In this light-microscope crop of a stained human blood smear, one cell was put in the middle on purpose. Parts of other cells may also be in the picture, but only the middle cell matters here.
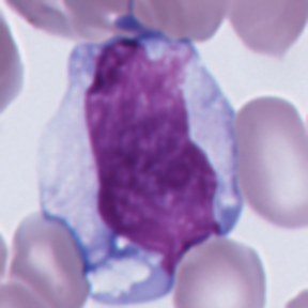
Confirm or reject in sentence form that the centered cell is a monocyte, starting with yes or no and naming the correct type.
Yes, the centered cell in this field is a monocyte.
